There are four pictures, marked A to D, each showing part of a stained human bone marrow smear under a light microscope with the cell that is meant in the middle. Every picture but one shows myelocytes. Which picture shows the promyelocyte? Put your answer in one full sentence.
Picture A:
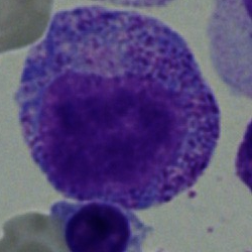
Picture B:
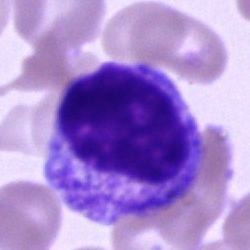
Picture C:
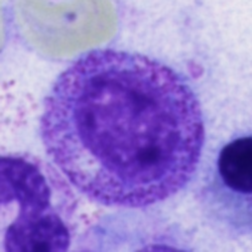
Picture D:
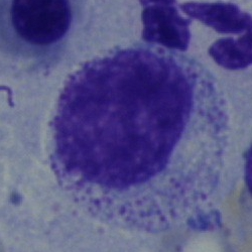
The promyelocyte is the one in picture A.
